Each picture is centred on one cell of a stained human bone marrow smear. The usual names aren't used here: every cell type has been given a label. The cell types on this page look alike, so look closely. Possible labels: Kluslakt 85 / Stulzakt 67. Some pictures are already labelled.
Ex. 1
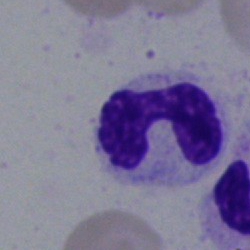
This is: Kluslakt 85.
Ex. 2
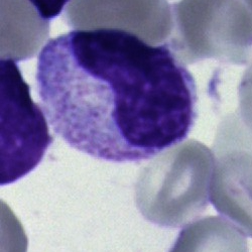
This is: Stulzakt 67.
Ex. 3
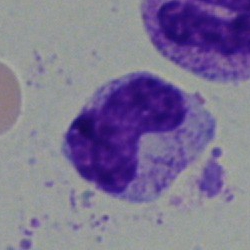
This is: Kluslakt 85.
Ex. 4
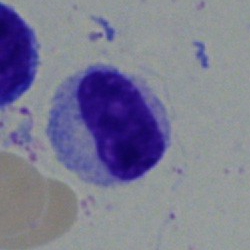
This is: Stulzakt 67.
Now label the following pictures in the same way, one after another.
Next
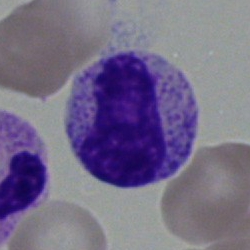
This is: Stulzakt 67.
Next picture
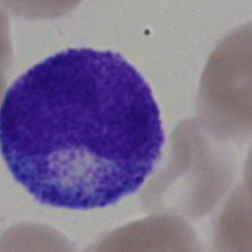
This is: Stulzakt 67.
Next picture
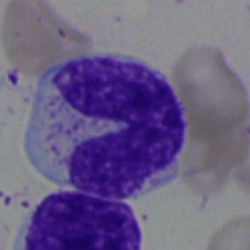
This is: Kluslakt 85.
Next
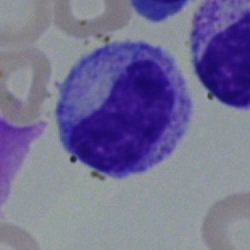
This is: Stulzakt 67.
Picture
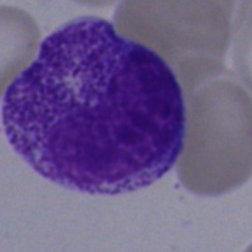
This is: Stulzakt 67.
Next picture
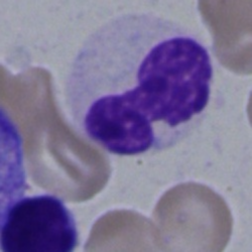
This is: Kluslakt 85.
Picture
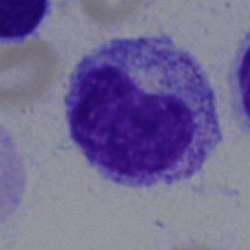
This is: Stulzakt 67.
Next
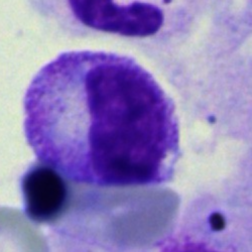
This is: Stulzakt 67.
